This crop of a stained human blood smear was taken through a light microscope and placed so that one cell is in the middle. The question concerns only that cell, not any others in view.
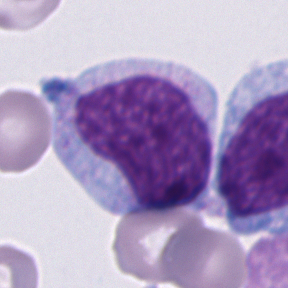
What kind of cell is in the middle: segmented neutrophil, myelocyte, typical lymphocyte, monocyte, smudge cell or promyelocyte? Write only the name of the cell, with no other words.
promyelocyte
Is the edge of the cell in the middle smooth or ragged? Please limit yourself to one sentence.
An irregular outline, ragged or marked by projections, surrounds this cell.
